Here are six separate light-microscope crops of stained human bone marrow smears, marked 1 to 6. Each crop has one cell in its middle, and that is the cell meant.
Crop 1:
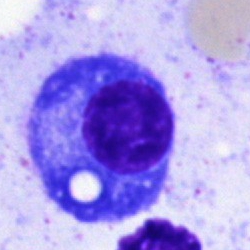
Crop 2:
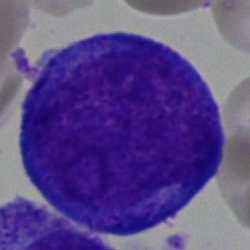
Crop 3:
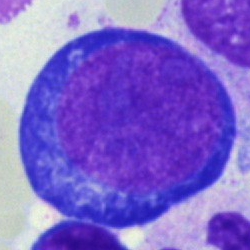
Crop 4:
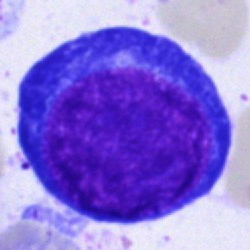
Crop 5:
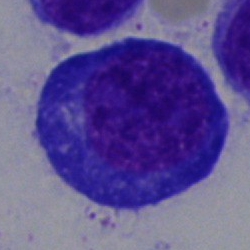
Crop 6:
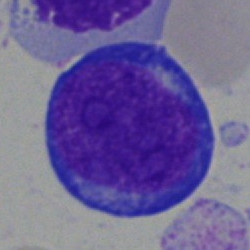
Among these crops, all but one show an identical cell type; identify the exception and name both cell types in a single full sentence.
Although the other crops all show proerythroblasts, crop 1 shows a plasma cell.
